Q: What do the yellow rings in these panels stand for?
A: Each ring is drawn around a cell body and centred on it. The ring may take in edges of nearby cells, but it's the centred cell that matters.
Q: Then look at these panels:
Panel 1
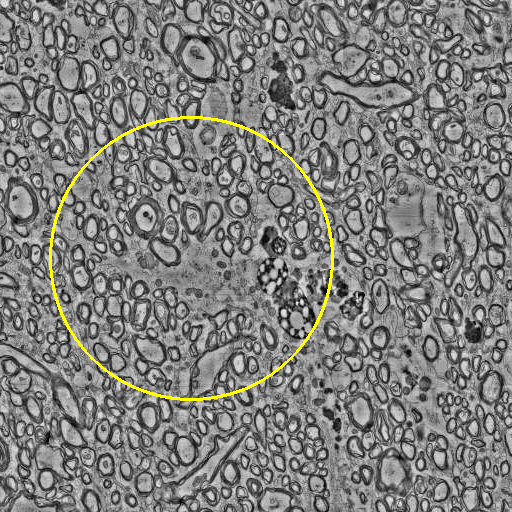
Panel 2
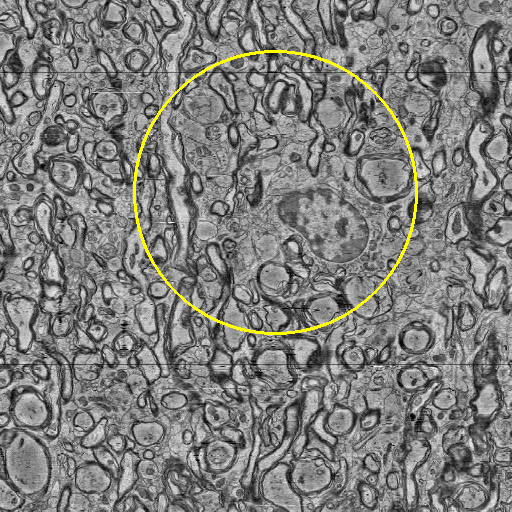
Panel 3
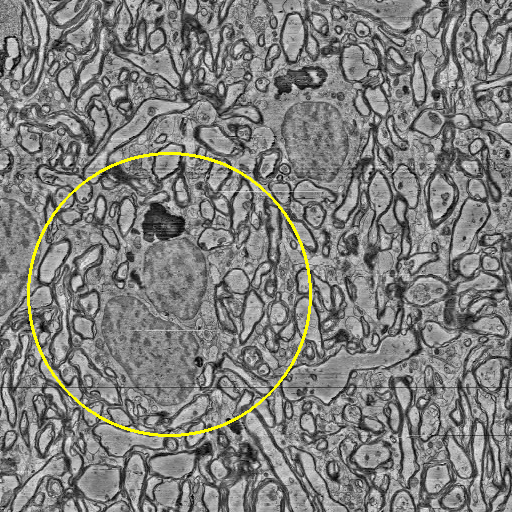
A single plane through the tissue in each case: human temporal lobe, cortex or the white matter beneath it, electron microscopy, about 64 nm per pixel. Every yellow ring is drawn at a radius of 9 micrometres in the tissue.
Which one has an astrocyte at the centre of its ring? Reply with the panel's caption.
Panel 1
